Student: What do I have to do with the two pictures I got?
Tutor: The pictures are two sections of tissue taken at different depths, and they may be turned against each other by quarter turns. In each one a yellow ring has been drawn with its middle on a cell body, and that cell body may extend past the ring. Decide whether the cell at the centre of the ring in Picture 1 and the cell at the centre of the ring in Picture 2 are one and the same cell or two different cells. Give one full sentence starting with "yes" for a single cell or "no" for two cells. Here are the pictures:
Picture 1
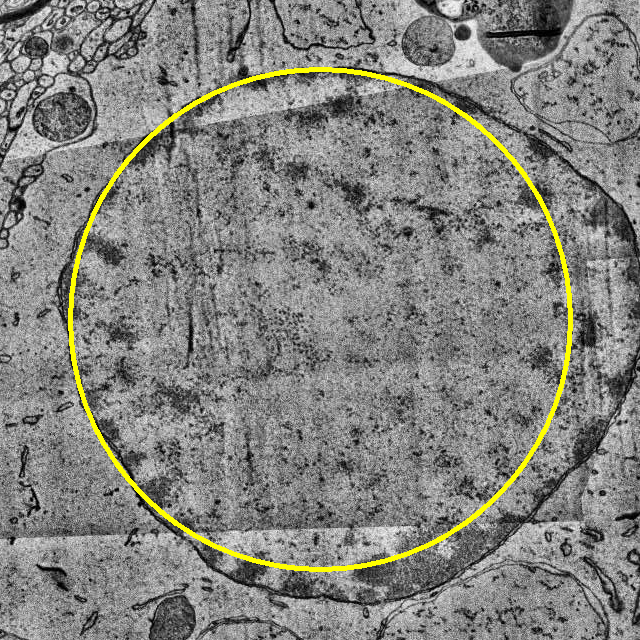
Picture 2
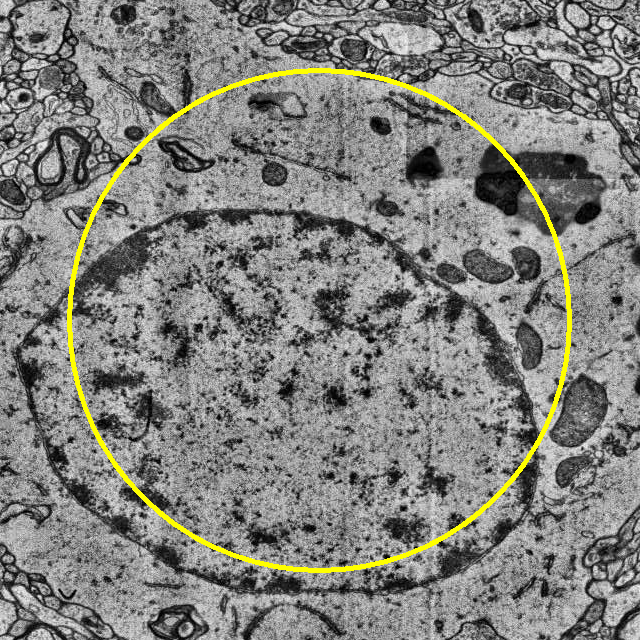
No, the two yellow rings surround two different cells.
